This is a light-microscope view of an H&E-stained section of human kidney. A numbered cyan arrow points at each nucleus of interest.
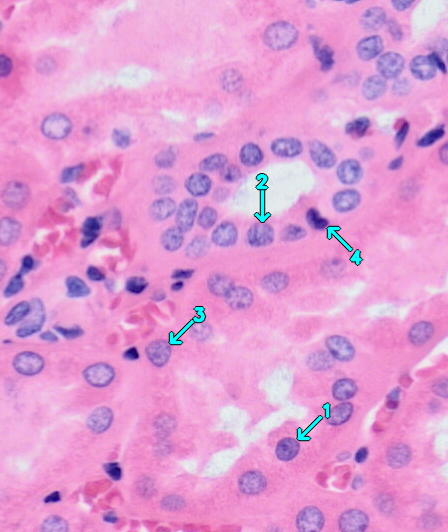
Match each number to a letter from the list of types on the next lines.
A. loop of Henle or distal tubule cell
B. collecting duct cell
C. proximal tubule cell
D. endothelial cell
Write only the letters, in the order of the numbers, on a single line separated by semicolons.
C; B; C; B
